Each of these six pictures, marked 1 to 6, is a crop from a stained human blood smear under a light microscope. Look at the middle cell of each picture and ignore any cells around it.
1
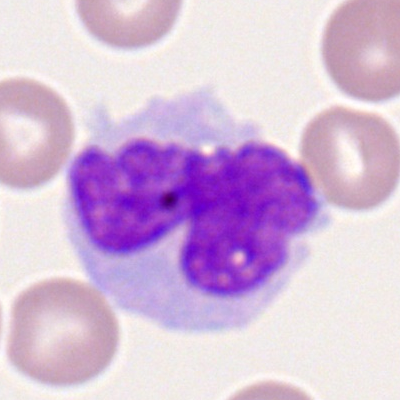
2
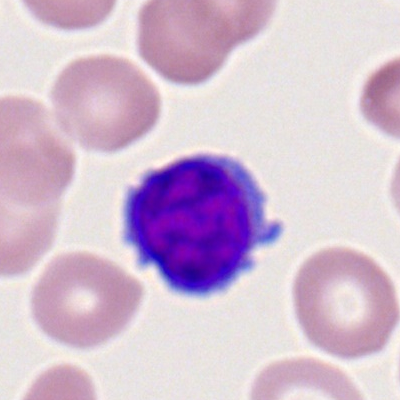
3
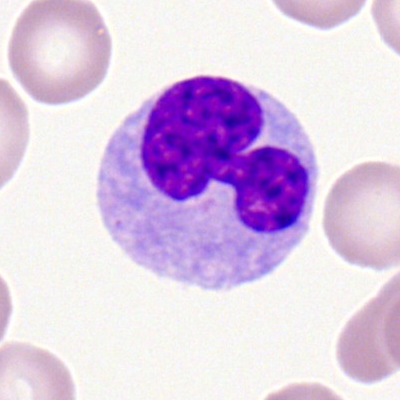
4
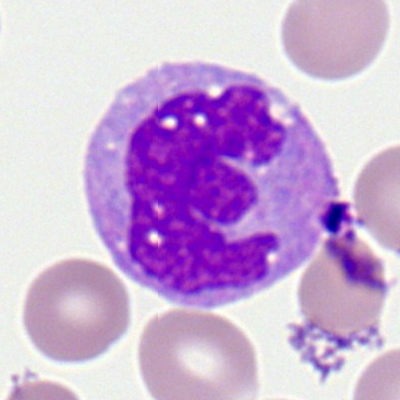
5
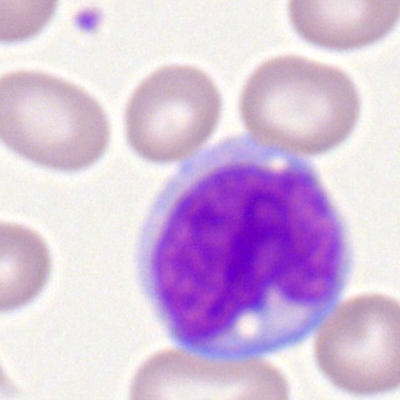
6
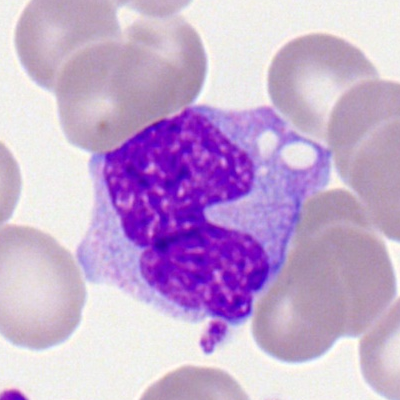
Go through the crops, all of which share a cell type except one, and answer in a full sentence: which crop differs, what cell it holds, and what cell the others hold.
Shown in crop 2 is a lymphocyte, in contrast to the monocytes of all the other crops.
